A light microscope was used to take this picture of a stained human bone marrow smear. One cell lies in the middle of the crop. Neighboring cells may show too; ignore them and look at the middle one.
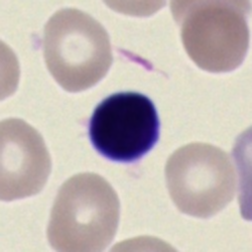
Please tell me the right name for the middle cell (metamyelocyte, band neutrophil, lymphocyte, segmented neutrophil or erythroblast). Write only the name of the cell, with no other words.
lymphocyte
